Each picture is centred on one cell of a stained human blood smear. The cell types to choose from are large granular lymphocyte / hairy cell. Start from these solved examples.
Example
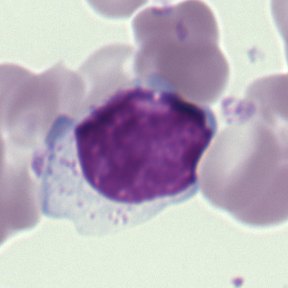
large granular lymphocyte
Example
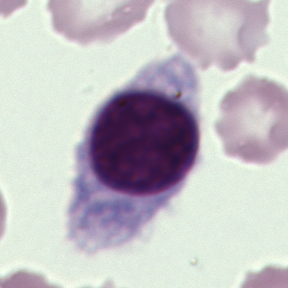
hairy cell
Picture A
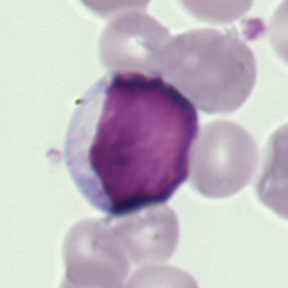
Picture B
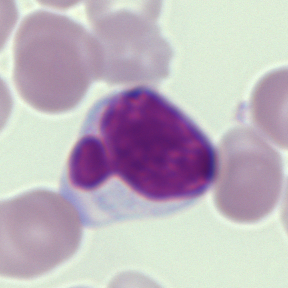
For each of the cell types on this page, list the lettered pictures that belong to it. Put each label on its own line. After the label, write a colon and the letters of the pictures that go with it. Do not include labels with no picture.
large granular lymphocyte: A, B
